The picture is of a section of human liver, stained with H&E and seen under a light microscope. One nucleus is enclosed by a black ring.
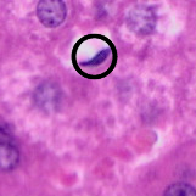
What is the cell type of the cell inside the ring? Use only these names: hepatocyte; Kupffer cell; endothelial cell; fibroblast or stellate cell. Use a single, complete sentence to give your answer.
Typologically, the cell inside the ring is an endothelial cell in this section.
